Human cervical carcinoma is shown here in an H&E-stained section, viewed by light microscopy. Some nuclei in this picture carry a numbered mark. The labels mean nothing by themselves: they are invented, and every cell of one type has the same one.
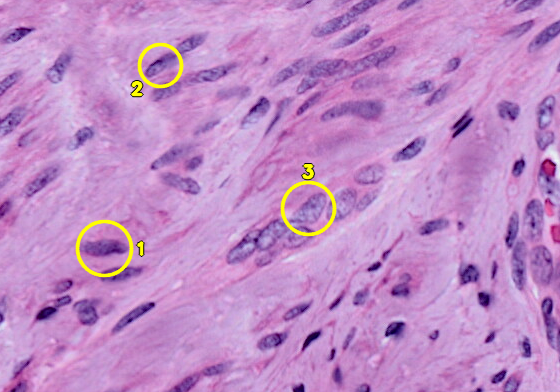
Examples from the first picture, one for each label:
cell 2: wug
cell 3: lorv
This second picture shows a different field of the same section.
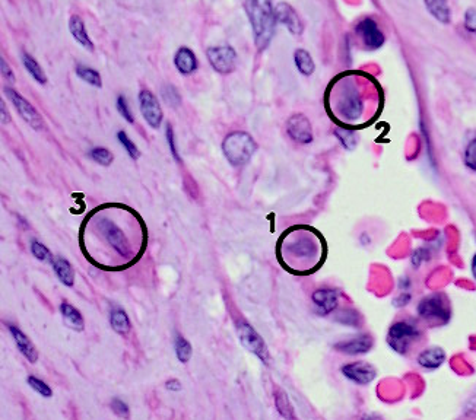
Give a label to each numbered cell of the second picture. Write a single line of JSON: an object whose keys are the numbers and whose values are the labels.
{"1": "lorv", "2": "lorv", "3": "wug"}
